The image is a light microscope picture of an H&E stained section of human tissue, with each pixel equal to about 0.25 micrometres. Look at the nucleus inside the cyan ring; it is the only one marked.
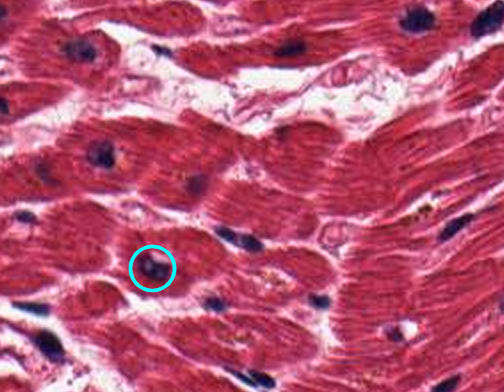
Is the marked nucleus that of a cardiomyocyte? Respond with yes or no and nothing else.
yes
